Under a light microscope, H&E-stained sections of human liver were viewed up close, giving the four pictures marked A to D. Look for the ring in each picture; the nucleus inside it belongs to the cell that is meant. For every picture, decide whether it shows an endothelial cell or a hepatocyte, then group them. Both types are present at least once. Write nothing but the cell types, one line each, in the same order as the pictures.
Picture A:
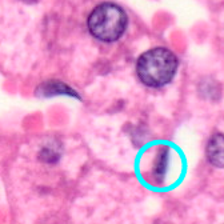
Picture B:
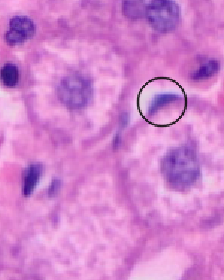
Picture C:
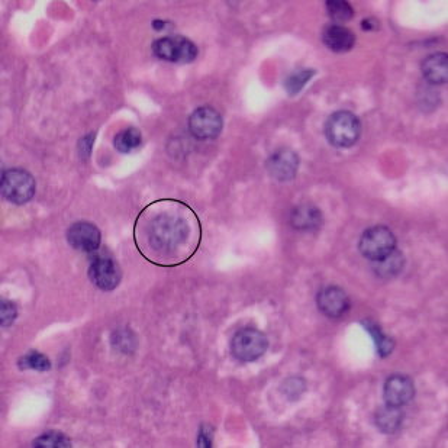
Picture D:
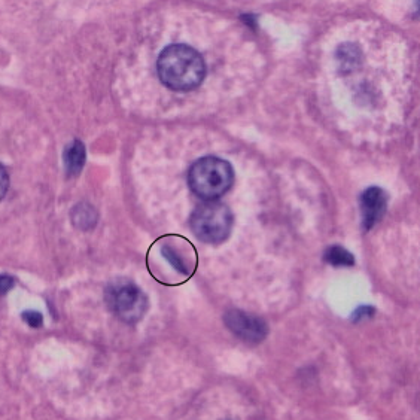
endothelial cell
endothelial cell
hepatocyte
endothelial cell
